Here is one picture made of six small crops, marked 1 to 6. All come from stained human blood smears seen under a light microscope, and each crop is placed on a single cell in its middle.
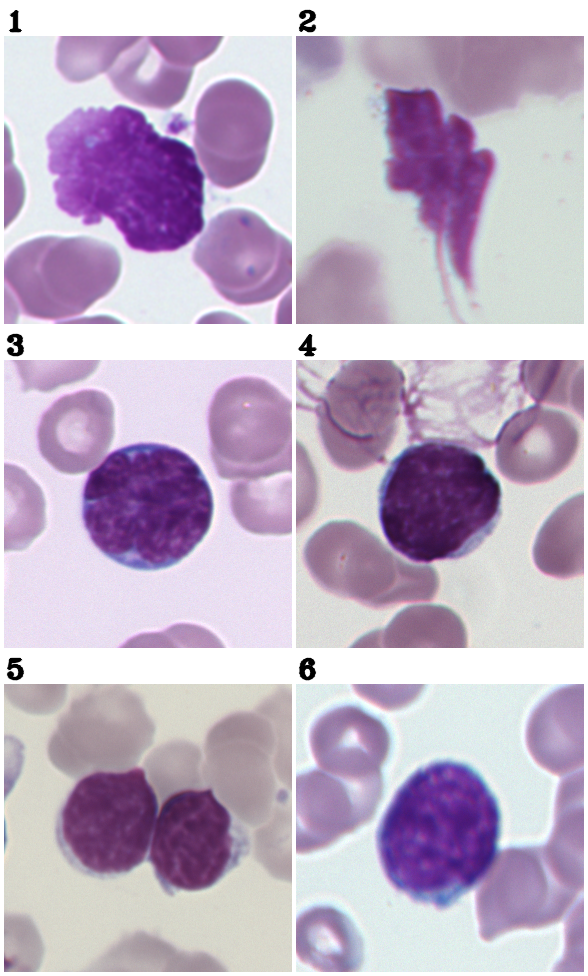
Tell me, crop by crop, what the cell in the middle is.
1: smudge cell
2: smudge cell
3: myeloblast
4: typical lymphocyte
5: myeloblast
6: myeloblast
